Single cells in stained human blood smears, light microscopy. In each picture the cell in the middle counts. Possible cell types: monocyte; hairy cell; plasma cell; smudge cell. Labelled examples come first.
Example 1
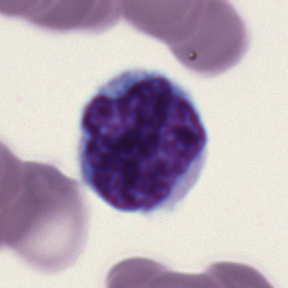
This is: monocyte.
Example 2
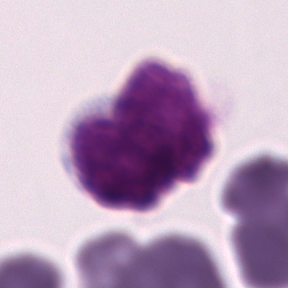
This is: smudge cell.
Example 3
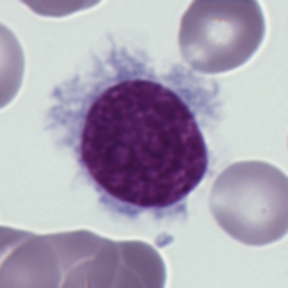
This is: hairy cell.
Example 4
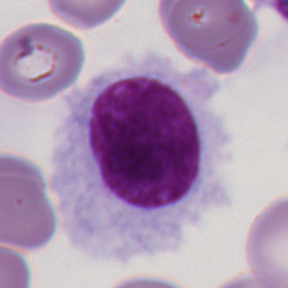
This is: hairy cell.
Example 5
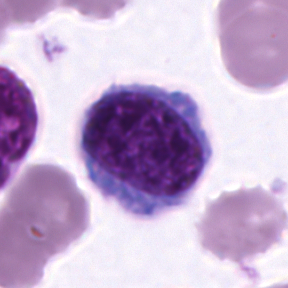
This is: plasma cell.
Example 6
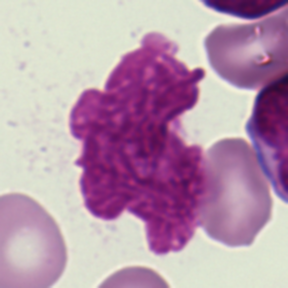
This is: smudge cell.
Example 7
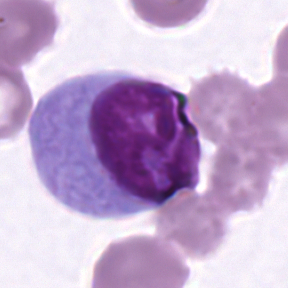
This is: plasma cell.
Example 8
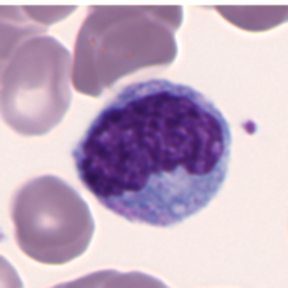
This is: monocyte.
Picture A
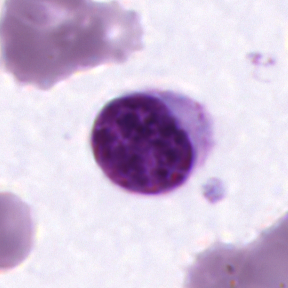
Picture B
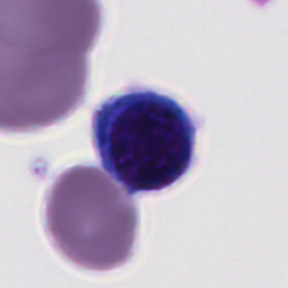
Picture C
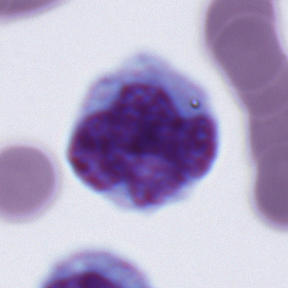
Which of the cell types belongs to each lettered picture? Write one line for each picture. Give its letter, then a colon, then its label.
A: plasma cell.
B: plasma cell.
C: monocyte.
